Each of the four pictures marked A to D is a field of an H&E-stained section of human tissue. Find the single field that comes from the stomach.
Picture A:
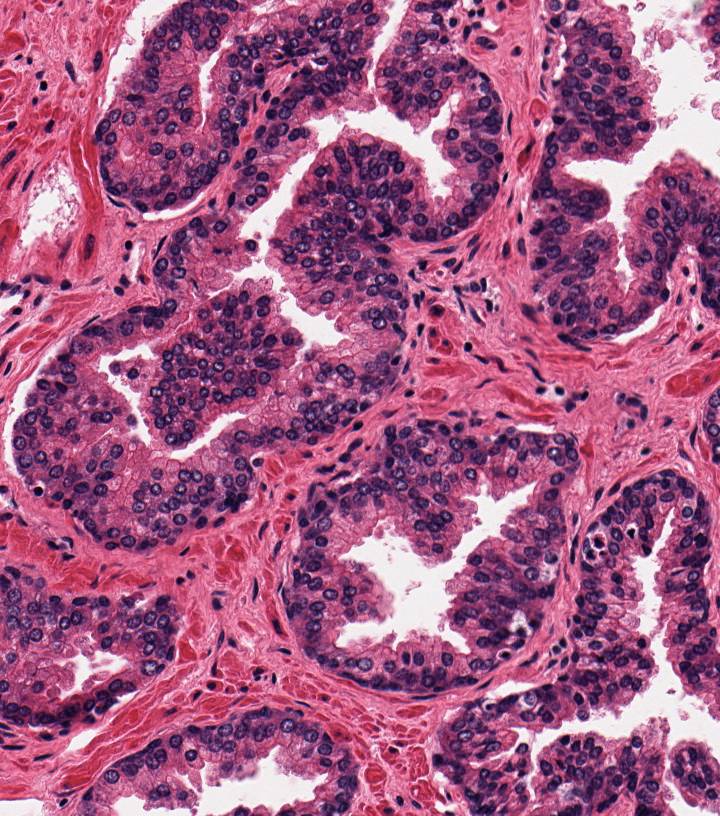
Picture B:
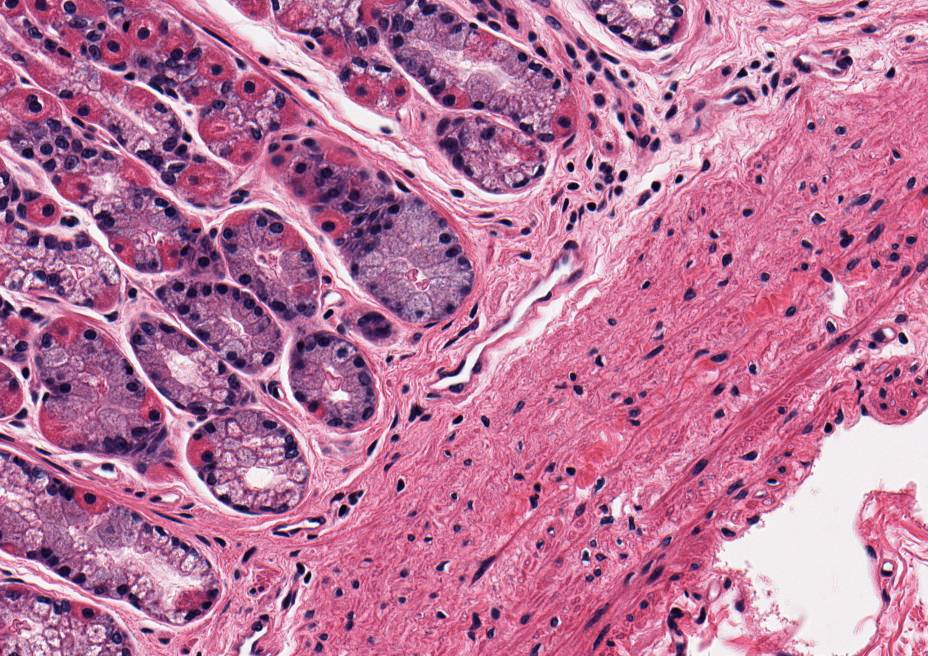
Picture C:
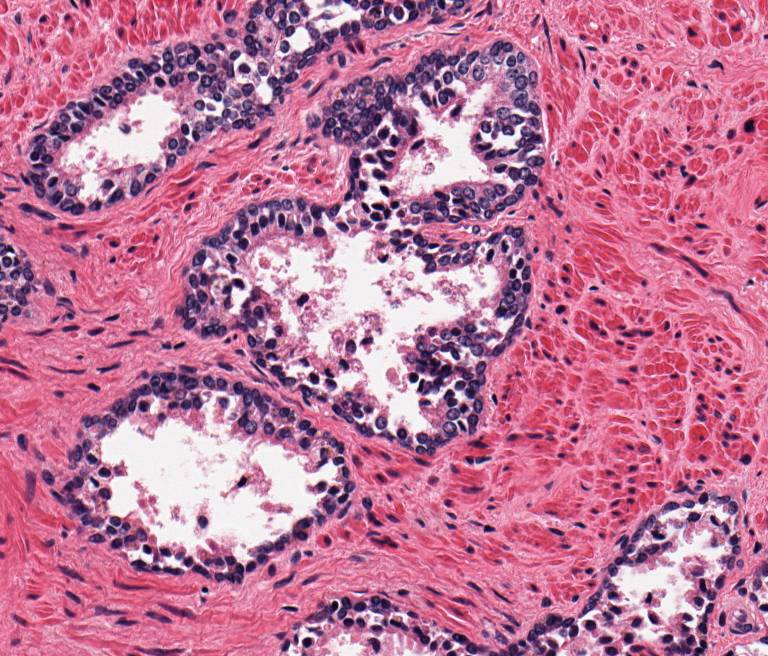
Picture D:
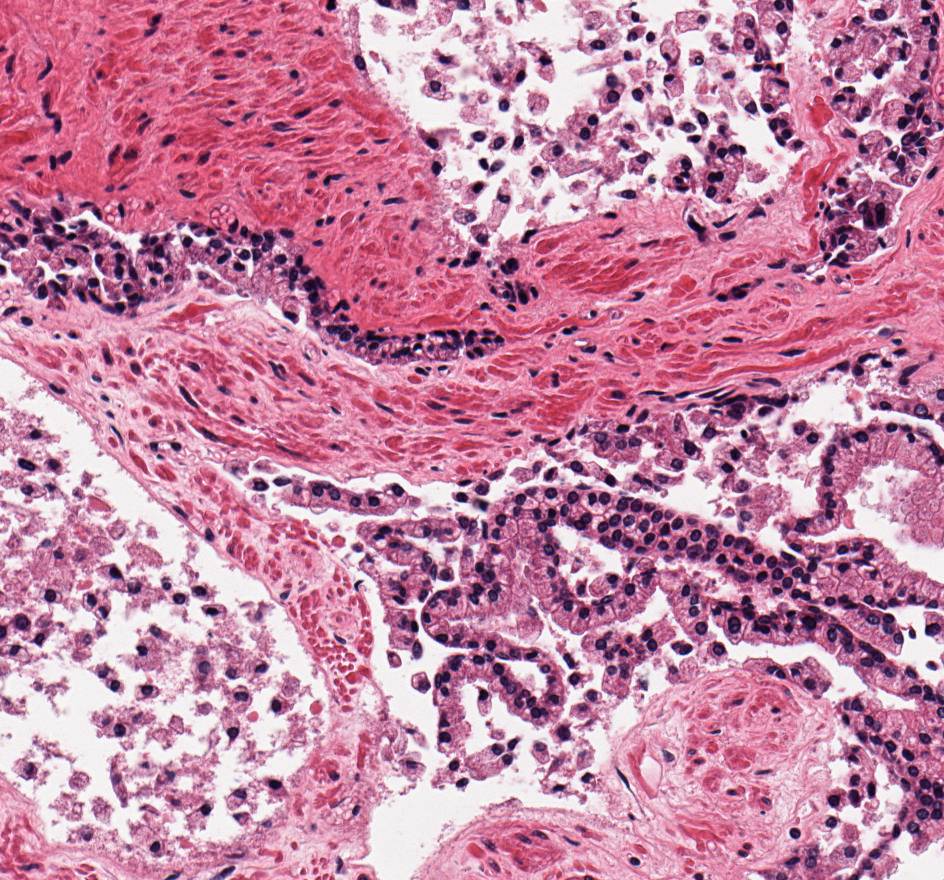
B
